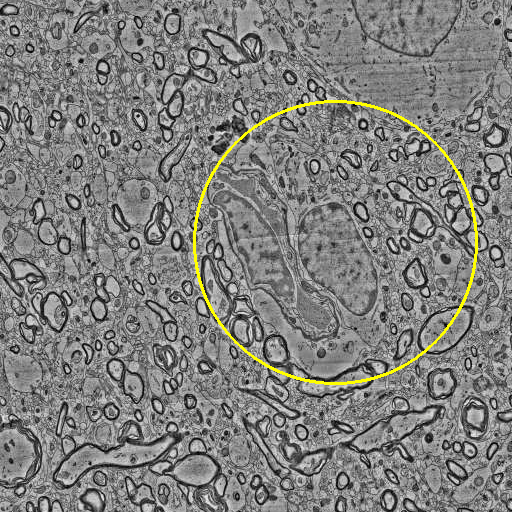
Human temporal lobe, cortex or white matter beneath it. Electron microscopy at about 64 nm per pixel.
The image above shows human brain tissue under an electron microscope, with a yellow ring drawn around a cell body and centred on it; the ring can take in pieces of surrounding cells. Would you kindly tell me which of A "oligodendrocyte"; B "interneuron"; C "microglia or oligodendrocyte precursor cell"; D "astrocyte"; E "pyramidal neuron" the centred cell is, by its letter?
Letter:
C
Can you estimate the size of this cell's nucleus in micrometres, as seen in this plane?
In this plane the nucleus measures roughly 7 by 4 micrometers.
